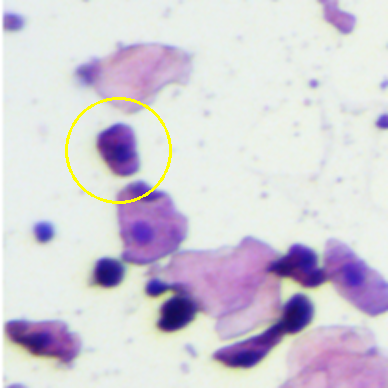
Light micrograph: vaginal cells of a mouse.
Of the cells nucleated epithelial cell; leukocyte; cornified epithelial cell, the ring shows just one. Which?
The ring shows a nucleated epithelial cell.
